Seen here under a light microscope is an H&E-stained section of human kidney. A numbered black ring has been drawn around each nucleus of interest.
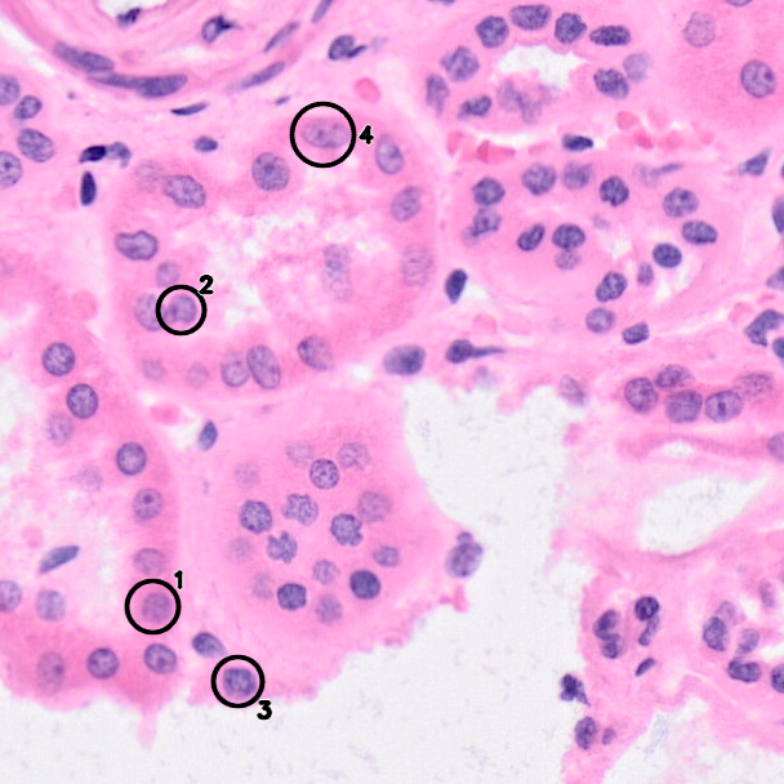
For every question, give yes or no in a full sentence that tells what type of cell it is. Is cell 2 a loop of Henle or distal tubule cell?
No, it is not a loop of Henle or distal tubule cell that bears number 2 but a proximal tubule cell.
